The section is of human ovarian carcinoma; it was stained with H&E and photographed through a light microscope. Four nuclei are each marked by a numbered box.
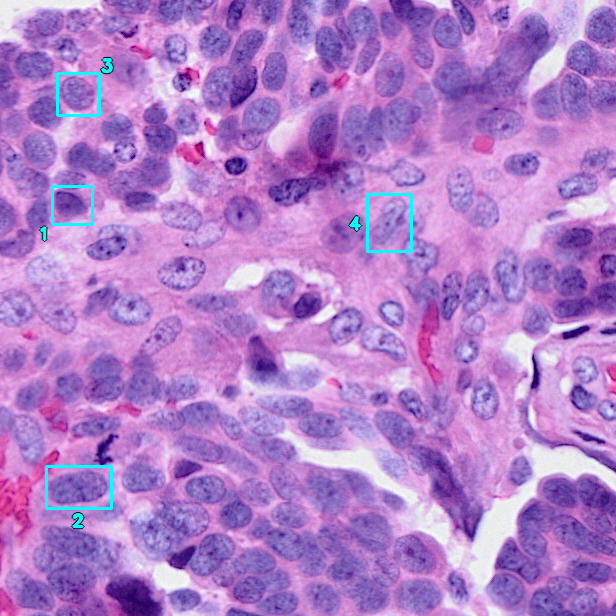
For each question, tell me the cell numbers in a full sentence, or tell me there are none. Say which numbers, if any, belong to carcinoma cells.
Cells 1, 2 and 3 are of one type, namely carcinoma cells.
